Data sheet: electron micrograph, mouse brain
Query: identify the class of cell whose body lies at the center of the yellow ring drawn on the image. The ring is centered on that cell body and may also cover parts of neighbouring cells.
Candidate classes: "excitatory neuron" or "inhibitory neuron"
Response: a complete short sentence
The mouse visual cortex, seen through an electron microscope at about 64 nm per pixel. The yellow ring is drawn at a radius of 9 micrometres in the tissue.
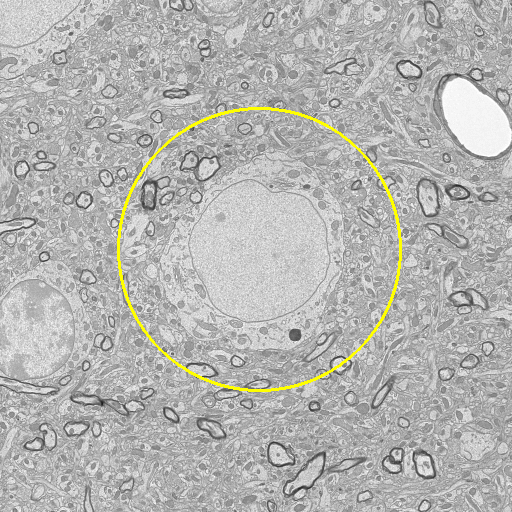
At the center of the ring lies an excitatory neuron.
